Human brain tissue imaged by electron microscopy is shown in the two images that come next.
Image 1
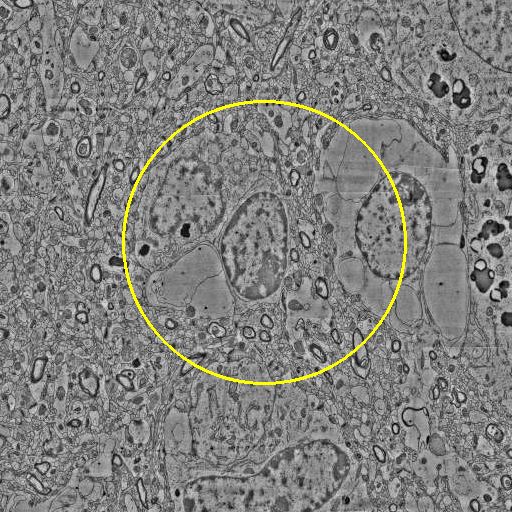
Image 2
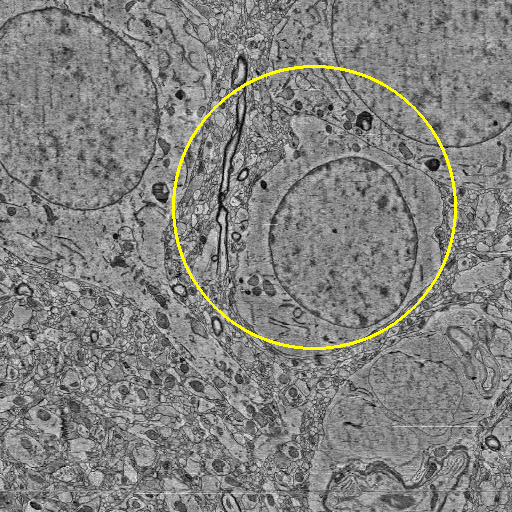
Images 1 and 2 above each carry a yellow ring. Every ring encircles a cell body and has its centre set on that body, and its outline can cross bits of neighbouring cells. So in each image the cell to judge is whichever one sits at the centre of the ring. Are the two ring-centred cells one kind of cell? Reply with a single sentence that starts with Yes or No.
No, in Image 1 and Image 2 the cells at the centres of their rings fall into two types.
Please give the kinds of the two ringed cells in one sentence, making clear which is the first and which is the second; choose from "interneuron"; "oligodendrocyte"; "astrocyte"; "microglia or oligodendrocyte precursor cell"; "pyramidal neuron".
In the second picture the ringed cell is an astrocyte; in the first it is a microglial cell or oligodendrocyte precursor cell.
